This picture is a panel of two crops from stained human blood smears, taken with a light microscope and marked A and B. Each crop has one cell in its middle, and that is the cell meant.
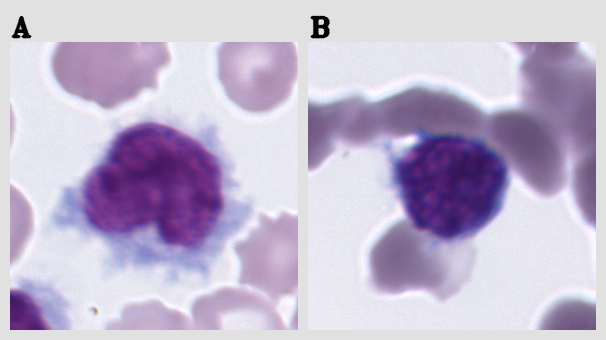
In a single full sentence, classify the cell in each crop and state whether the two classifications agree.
Yes, the central cells in both crops are hairy cells.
